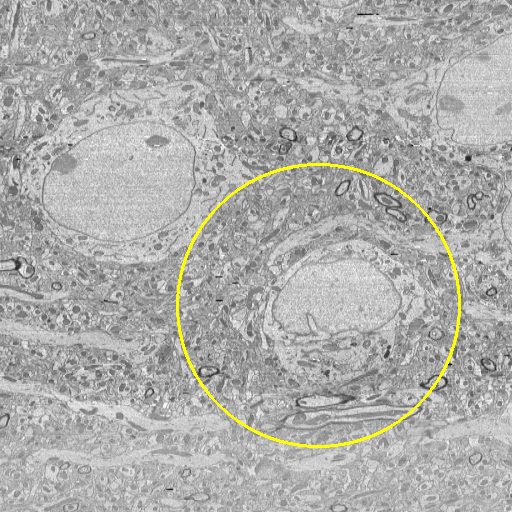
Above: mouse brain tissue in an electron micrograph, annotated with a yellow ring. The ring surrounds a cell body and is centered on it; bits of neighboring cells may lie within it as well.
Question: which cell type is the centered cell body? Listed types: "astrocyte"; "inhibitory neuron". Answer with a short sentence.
The centered cell body is an inhibitory neuron.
